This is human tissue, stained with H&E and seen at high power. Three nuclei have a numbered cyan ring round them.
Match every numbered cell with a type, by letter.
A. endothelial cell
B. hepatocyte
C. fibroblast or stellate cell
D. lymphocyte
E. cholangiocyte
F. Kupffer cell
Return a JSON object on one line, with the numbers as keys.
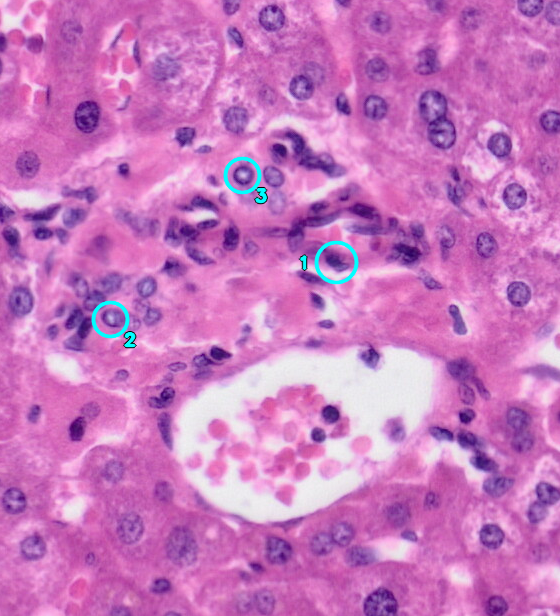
{"1": "C", "2": "E", "3": "E"}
